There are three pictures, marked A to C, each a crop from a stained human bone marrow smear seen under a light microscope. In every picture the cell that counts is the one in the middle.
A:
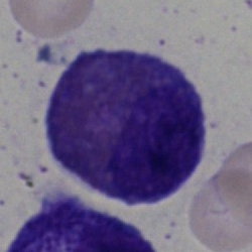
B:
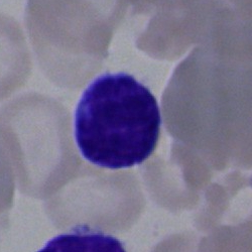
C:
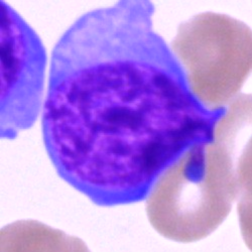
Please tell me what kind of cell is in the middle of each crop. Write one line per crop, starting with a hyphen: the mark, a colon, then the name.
- A: eosinophil
- B: lymphocyte
- C: blast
